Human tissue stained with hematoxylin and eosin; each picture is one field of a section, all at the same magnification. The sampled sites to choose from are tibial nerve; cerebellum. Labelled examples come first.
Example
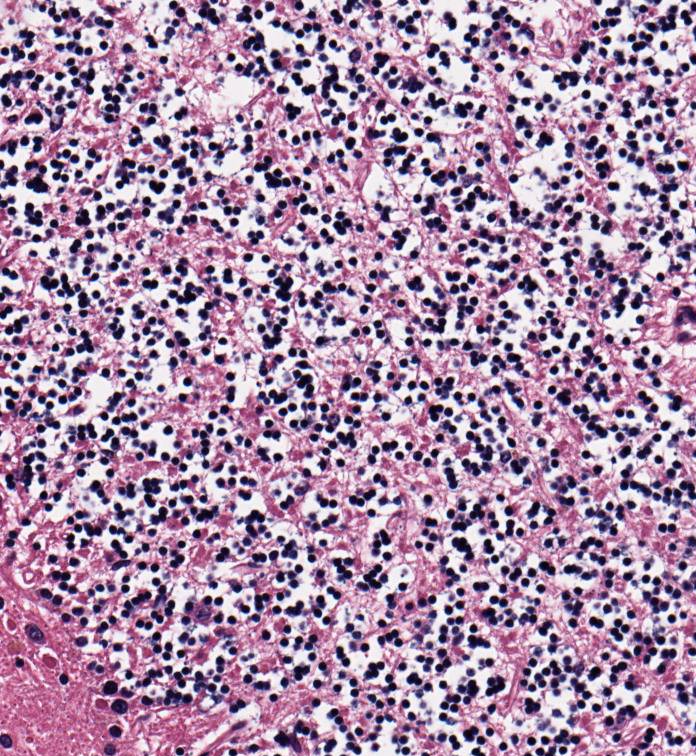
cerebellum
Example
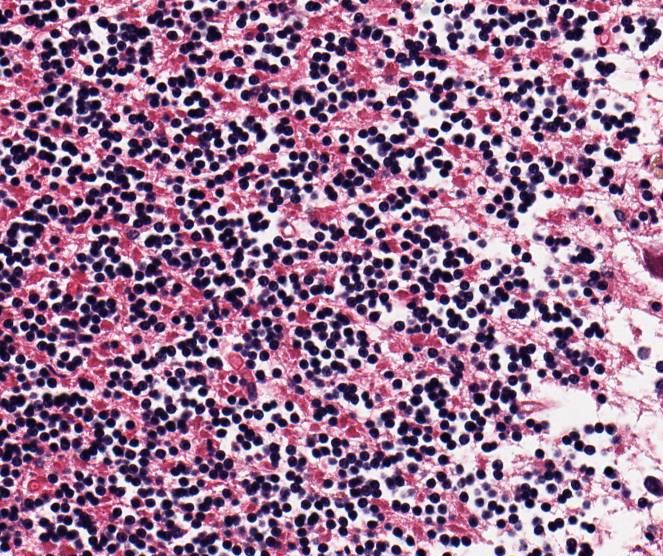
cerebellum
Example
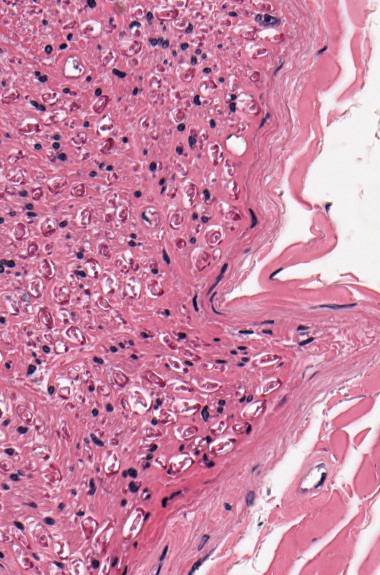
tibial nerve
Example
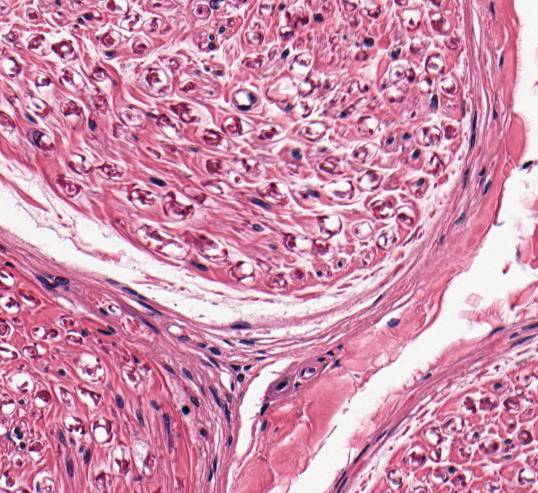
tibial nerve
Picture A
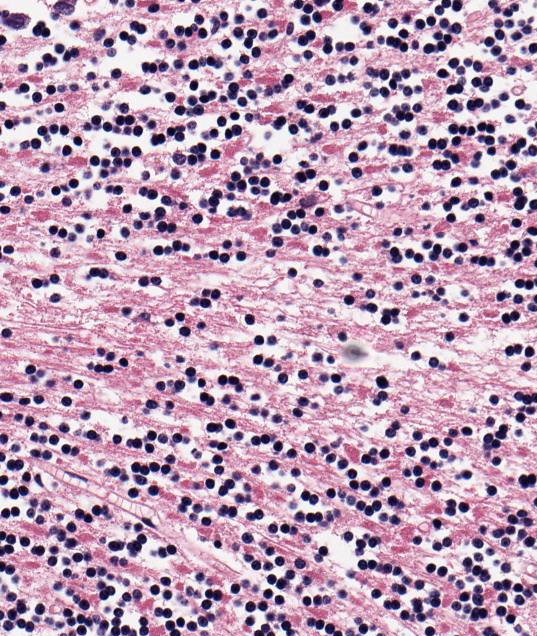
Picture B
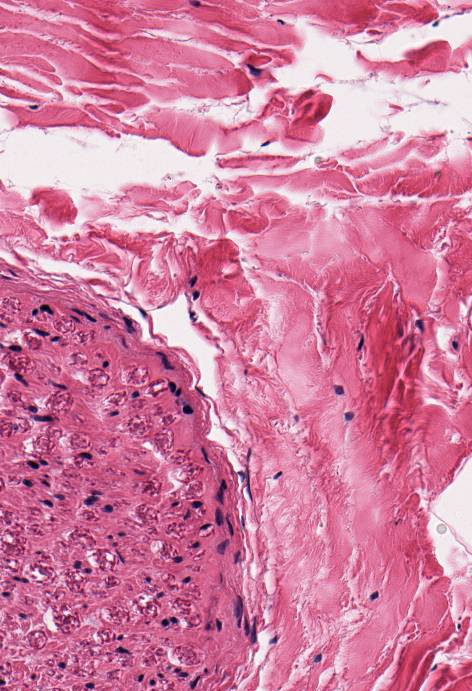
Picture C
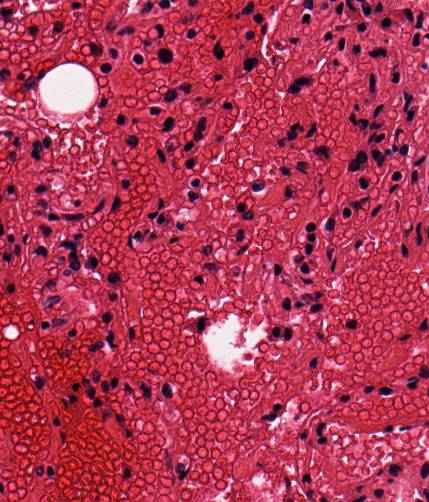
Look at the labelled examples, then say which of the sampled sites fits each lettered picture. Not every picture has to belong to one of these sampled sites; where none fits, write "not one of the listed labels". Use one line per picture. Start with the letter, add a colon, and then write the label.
A: cerebellum
B: tibial nerve
C: not one of the listed labels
